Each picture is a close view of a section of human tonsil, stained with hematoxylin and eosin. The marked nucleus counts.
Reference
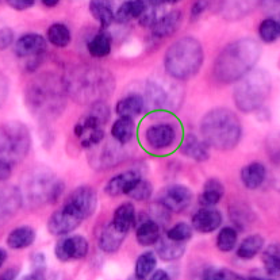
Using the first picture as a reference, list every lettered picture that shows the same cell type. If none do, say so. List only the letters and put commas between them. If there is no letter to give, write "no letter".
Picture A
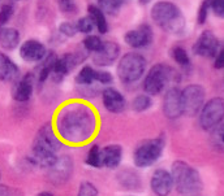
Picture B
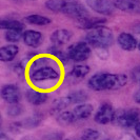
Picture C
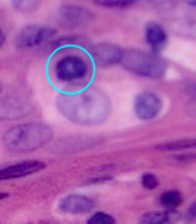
A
